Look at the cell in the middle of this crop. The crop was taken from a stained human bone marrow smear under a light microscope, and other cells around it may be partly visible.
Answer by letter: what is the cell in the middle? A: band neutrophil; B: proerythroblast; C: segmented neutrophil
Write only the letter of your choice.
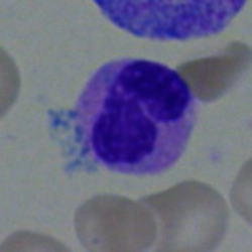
A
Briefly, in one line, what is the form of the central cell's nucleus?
The nucleus is divided into two or more distinct lobes.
